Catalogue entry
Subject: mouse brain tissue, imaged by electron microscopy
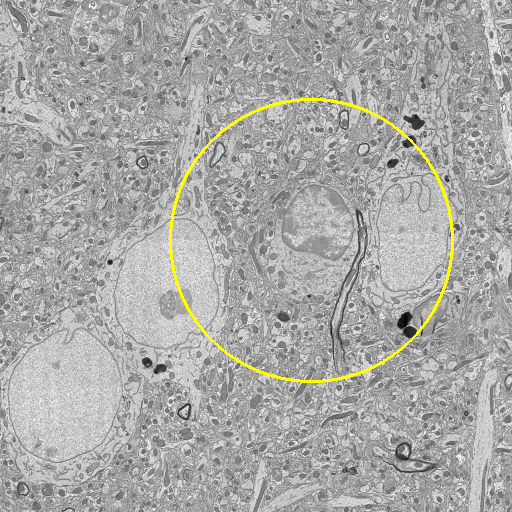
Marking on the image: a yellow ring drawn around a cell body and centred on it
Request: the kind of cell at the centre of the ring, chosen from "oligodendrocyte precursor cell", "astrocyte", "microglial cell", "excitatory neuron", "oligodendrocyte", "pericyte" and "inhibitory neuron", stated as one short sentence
The ring has an oligodendrocyte at its centre.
